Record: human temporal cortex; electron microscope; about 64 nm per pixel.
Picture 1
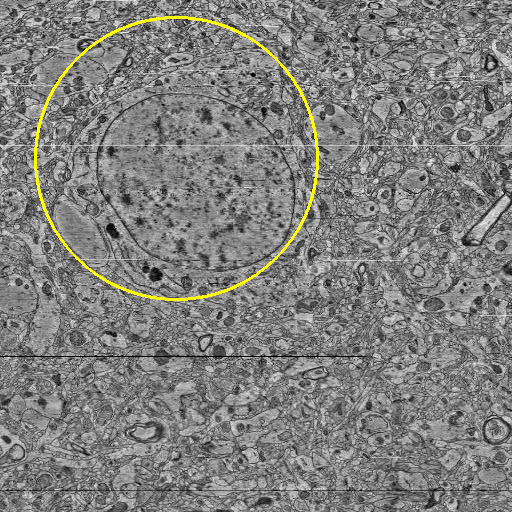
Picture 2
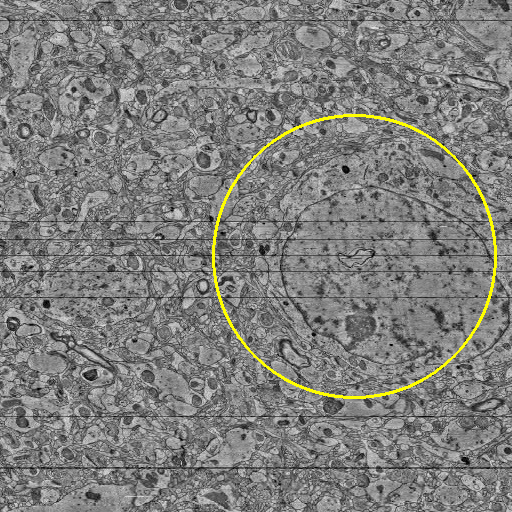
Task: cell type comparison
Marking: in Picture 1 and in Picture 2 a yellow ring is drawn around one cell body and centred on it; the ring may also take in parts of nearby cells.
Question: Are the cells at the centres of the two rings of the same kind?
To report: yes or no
yes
